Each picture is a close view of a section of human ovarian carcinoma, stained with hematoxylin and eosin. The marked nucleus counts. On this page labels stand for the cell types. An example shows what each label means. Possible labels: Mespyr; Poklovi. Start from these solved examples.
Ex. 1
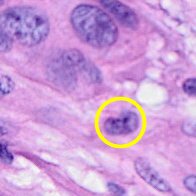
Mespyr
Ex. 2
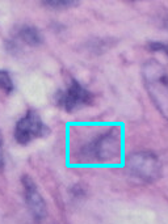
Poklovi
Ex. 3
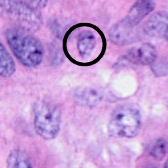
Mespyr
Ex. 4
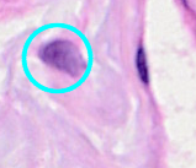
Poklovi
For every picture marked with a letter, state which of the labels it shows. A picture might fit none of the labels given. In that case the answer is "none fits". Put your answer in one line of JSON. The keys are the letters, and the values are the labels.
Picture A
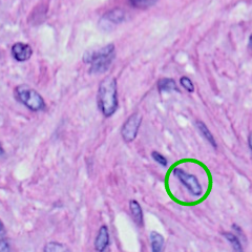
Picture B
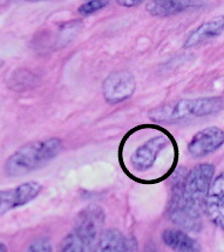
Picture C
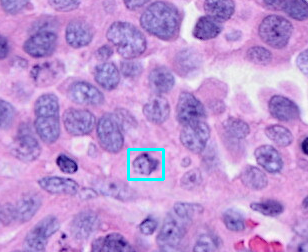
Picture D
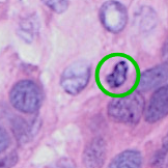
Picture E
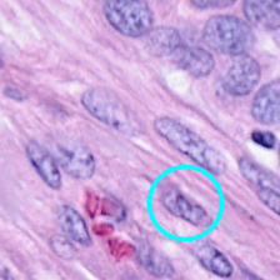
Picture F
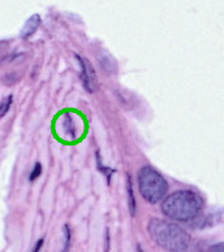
{"A": "Poklovi", "B": "Mespyr", "C": "Mespyr", "D": "none fits", "E": "Poklovi", "F": "Poklovi"}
